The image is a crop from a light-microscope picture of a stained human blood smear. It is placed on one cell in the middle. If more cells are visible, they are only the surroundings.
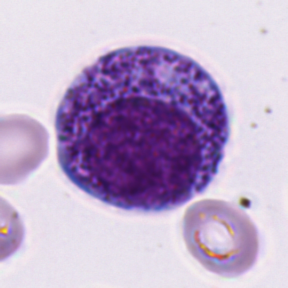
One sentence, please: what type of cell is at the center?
At the center of the crop sits a promyelocyte.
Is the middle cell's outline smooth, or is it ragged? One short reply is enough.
Smooth edges only, with no spikes, blebs, or other projections.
